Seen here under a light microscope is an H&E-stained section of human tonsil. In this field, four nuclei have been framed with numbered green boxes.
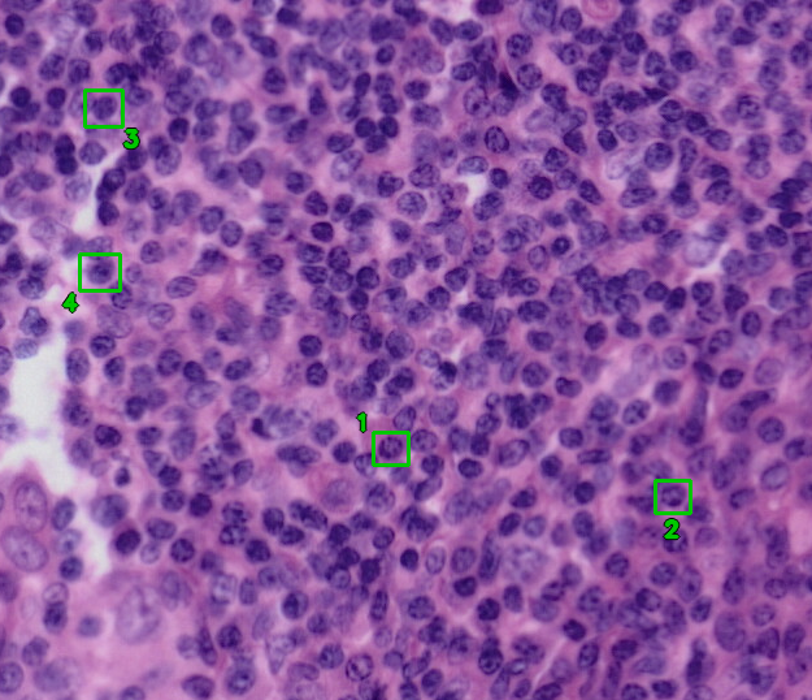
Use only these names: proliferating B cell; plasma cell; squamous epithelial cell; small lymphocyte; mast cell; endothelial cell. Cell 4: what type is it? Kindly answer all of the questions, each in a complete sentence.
The cell with the number 4 is a small lymphocyte.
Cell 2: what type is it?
Cell 2 in the field of view is a plasma cell.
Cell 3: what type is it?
Recognised here as a small lymphocyte is the cell numbered 3.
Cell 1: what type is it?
The expected answer is that cell 1 is a plasma cell.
